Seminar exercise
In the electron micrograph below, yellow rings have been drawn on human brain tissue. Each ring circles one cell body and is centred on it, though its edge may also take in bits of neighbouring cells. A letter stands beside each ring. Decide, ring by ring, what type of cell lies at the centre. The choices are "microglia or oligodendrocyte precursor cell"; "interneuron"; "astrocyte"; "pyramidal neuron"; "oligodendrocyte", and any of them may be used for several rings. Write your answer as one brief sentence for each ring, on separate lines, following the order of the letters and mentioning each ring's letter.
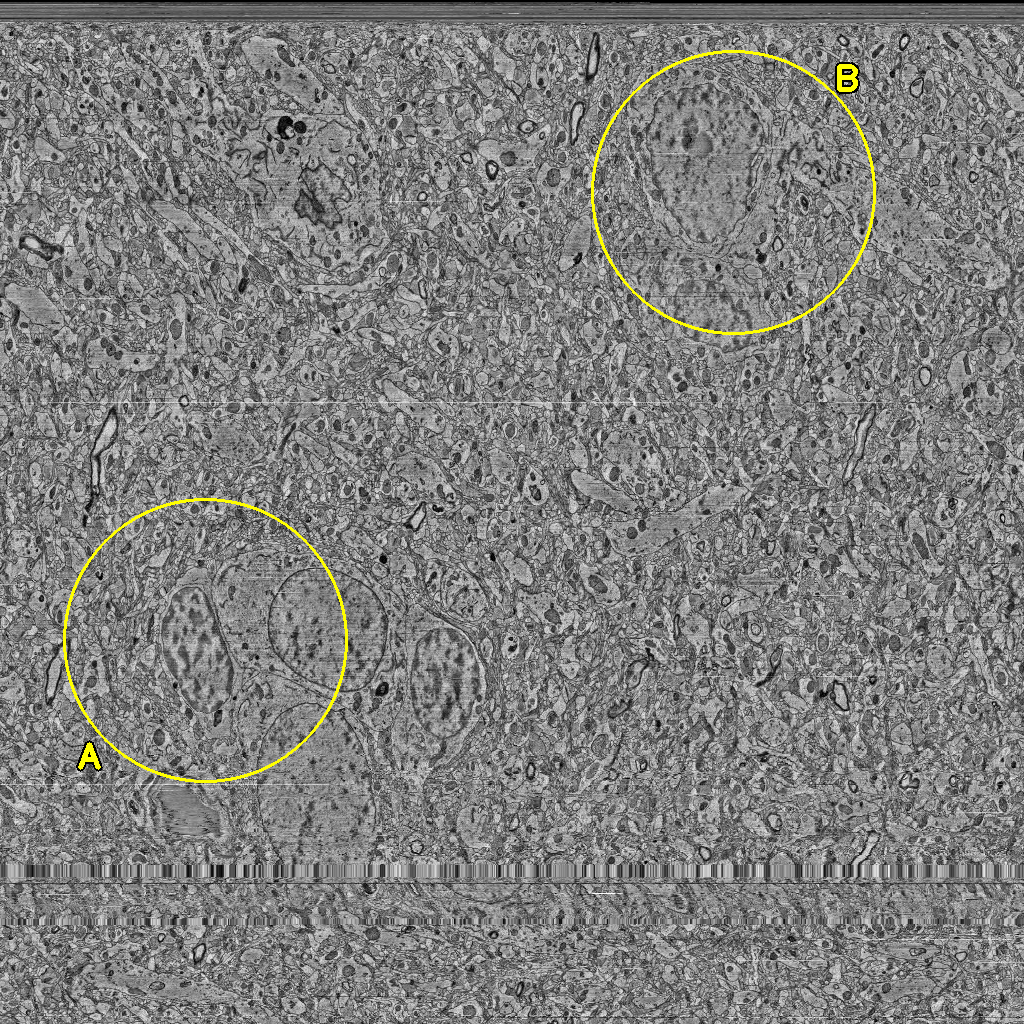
The cell in the middle of ring A is a microglial cell or oligodendrocyte precursor cell.
The cell in the middle of ring B is an interneuron.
